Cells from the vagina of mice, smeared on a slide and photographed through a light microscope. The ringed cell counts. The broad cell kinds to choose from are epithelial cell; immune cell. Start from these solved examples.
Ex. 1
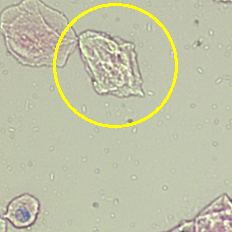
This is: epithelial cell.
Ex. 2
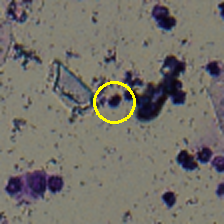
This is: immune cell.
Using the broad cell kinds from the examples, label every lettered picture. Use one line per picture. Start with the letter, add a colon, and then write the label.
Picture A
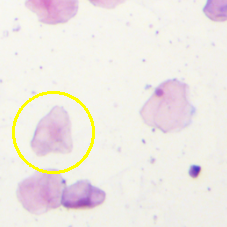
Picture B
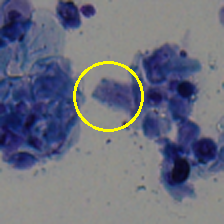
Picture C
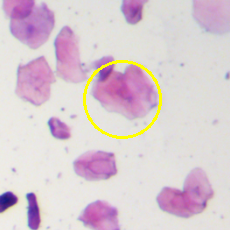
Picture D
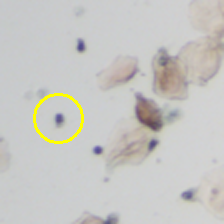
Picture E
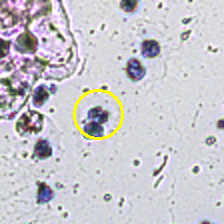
A: epithelial cell.
B: epithelial cell.
C: epithelial cell.
D: immune cell.
E: immune cell.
